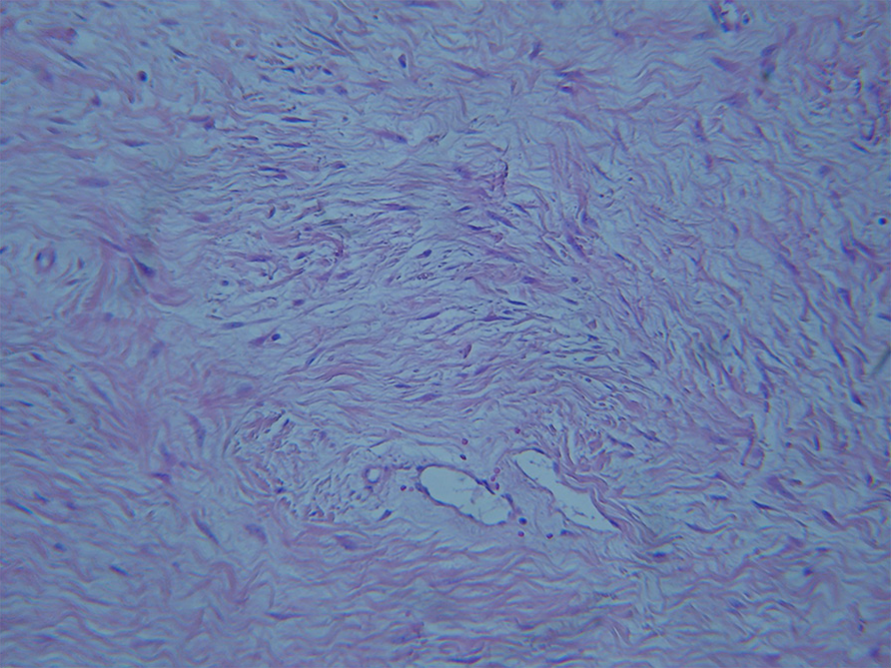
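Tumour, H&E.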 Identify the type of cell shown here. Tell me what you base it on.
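Spindle or stellate mesenchymal cells. Cells have slender, elongated, tapering nuclei. Nuclei are small and uniform, without marked enlargement.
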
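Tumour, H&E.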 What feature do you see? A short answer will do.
dense fibrous stroma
